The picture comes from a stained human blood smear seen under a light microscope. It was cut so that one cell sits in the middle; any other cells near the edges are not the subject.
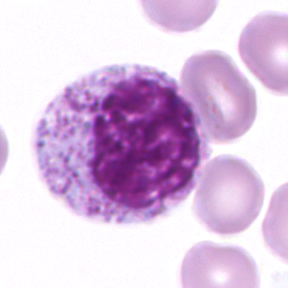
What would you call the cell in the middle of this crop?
myelocyte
